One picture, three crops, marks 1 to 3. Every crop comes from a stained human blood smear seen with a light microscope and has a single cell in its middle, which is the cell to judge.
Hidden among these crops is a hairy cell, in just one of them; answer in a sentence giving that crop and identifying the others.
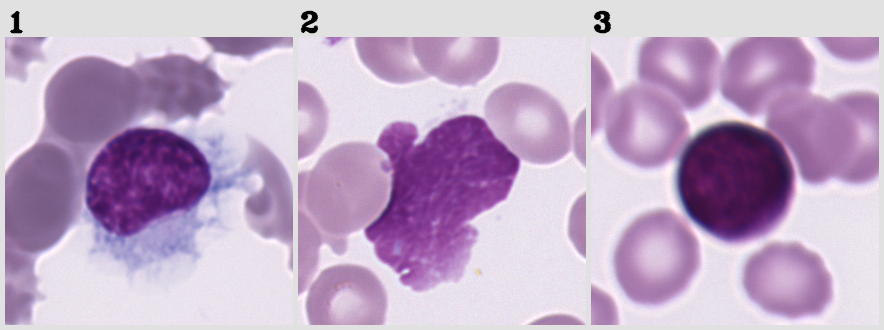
Of the crops, crop 1 shows a hairy cell, while crop 2 is a smudge cell and crop 3 is a myeloblast.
